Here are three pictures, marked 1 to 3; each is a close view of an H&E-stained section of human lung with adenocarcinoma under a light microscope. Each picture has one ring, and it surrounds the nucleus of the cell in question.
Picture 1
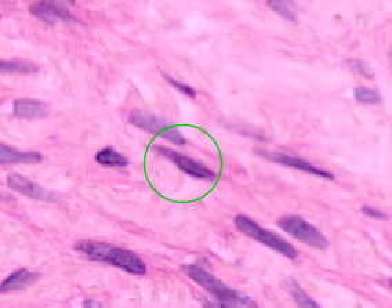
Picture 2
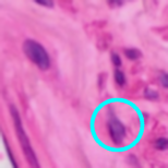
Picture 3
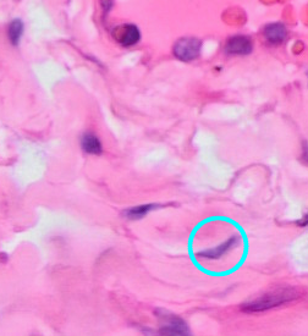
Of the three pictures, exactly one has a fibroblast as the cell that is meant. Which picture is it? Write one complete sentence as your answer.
The picture with the fibroblast is 3.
